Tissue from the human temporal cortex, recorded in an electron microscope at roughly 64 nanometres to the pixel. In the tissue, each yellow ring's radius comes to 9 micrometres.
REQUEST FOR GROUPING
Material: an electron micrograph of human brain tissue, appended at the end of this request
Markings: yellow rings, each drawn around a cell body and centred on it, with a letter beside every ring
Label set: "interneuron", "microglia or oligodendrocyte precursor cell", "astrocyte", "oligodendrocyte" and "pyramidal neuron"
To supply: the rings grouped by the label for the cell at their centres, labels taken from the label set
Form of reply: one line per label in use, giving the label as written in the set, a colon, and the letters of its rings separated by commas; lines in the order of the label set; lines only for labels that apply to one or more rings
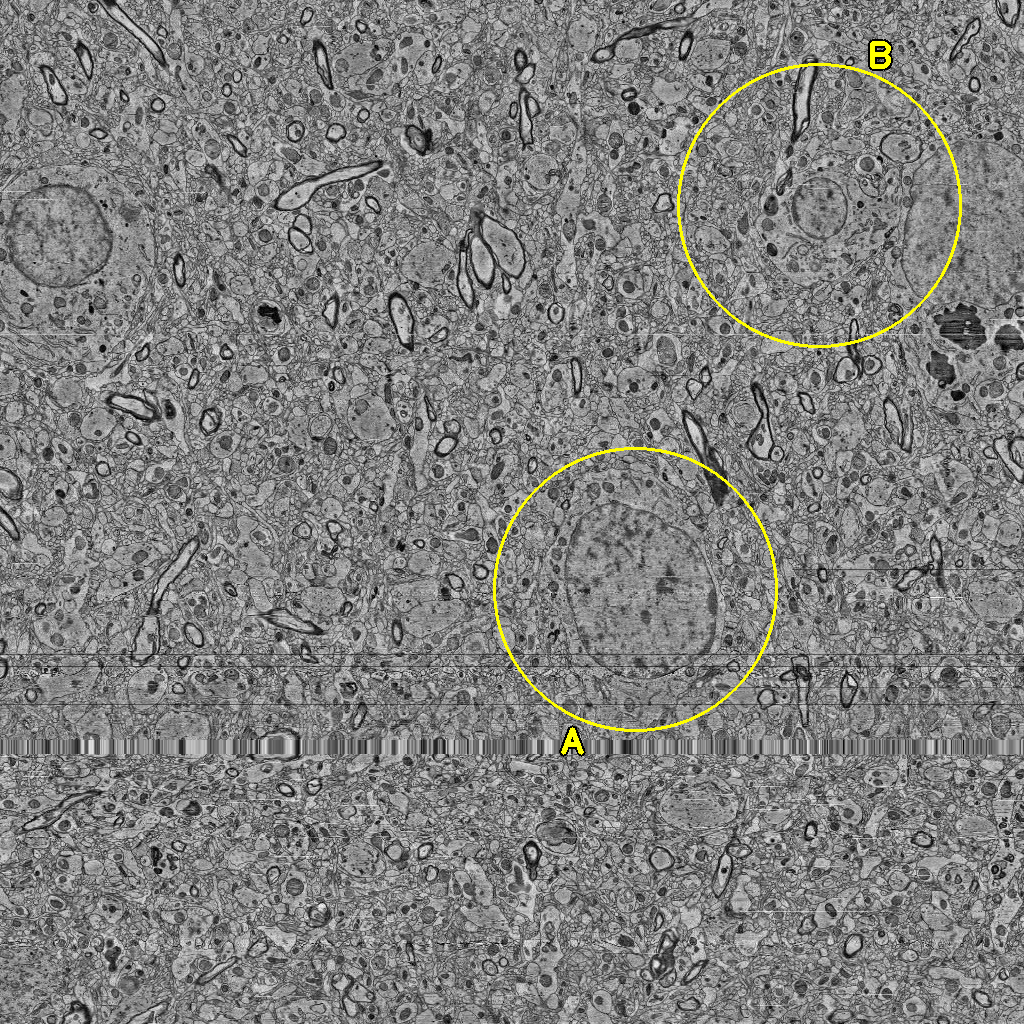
interneuron: A
microglia or oligodendrocyte precursor cell: B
